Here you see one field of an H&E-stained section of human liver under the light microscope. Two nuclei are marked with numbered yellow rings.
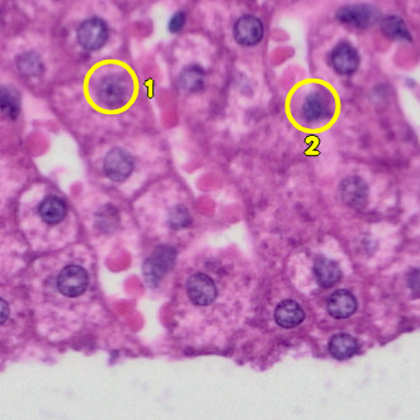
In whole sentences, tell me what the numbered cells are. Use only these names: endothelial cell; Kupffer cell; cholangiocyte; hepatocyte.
Cell 1 is a hepatocyte. Cell 2 is an endothelial cell.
